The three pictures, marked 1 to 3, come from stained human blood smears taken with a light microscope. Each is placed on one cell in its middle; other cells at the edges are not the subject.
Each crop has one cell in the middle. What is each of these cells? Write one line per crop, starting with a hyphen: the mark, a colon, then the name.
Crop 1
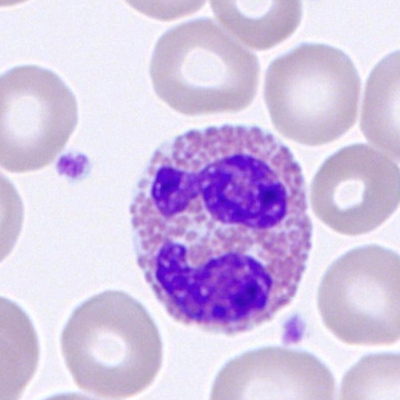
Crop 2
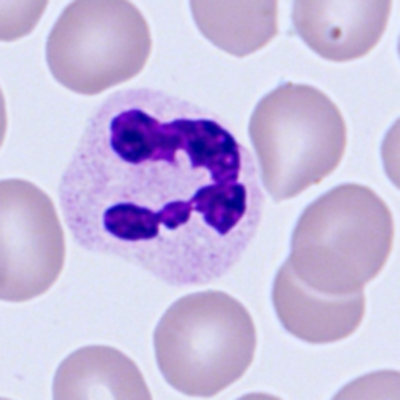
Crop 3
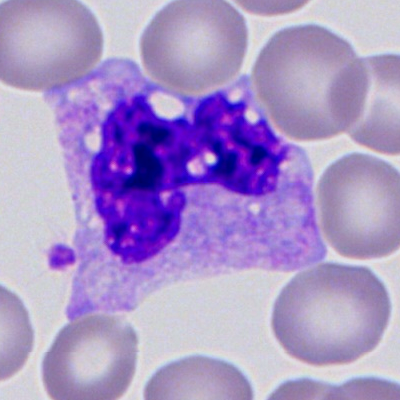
- 1: eosinophil
- 2: segmented neutrophil
- 3: monocyte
